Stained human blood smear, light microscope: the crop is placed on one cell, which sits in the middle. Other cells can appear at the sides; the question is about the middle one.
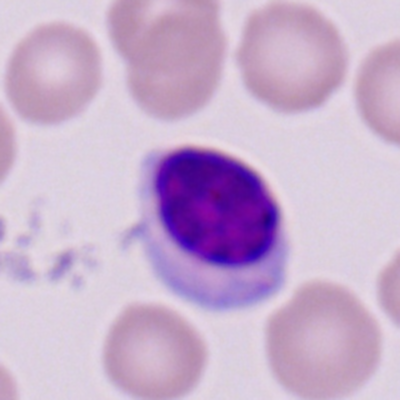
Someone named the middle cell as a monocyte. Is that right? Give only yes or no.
no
